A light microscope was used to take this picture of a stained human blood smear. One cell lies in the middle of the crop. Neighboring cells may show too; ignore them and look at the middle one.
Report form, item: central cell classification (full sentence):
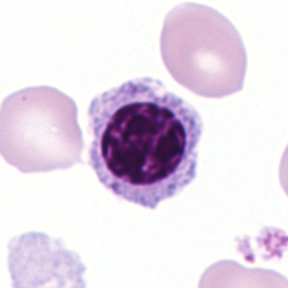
Seen at the centre of the crop is a normoblast.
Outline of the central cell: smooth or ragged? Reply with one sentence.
Along the periphery, ragged stretches or projections make the outline irregular.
